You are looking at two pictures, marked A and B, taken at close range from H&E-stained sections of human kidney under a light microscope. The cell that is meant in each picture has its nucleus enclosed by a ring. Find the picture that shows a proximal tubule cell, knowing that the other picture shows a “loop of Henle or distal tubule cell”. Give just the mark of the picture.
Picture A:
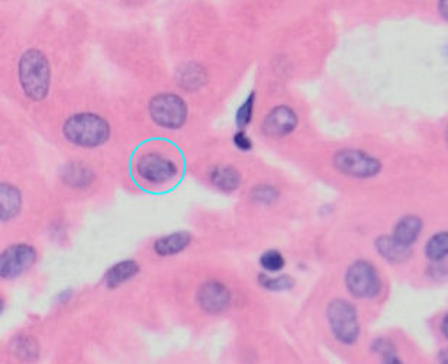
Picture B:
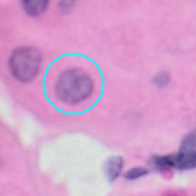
B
